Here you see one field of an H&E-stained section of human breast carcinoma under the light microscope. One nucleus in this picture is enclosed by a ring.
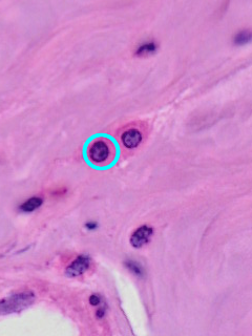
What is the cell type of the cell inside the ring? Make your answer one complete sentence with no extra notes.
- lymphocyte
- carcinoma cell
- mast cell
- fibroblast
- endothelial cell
Speaking plainly, the cell inside the ring is nothing other than a mast cell.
